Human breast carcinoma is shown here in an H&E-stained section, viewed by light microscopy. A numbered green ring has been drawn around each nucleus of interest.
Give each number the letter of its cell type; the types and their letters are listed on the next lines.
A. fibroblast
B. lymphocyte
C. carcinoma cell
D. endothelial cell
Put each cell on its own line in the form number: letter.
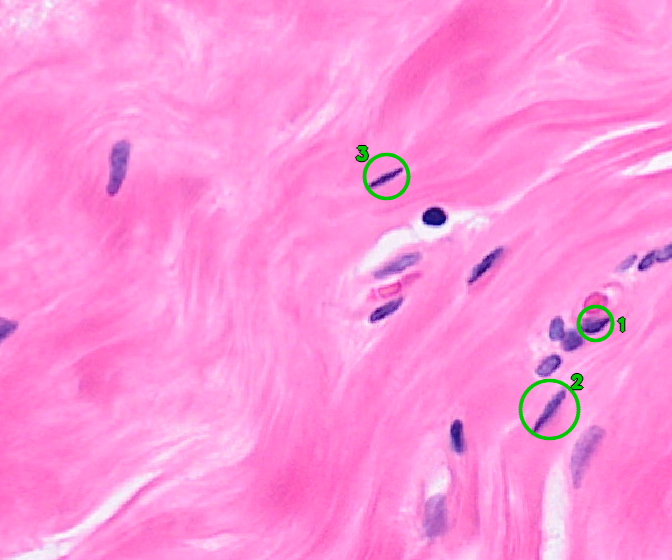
1: D
2: A
3: A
